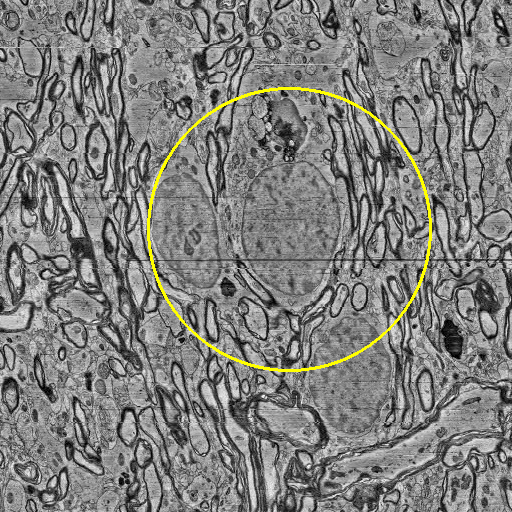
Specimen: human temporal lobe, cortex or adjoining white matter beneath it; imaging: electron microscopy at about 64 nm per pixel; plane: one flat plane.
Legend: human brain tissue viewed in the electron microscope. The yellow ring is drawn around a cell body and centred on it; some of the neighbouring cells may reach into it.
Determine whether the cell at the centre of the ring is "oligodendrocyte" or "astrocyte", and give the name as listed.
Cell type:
astrocyte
